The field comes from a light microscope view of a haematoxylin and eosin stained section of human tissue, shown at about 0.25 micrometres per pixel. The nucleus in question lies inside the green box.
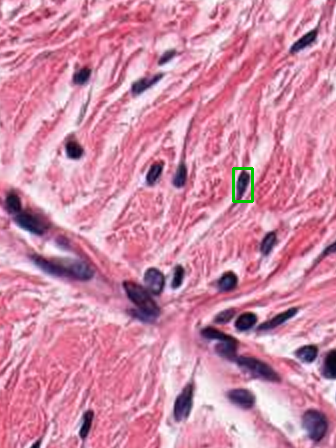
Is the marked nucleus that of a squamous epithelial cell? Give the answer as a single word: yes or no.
no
